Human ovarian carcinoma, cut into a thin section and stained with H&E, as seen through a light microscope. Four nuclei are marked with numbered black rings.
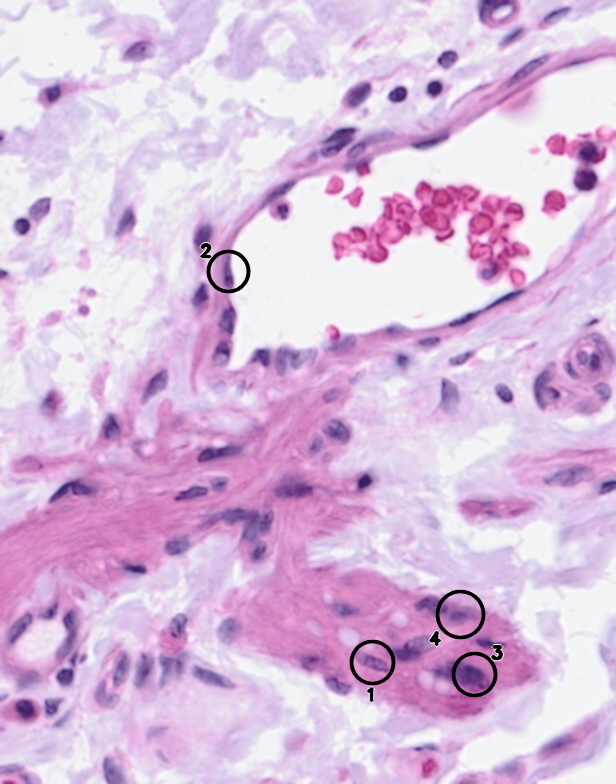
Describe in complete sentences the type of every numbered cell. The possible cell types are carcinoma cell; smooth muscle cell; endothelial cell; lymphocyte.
Cell 1 is a smooth muscle cell, cell 2 is an endothelial cell, cell 3 is a smooth muscle cell and cell 4 is a smooth muscle cell.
